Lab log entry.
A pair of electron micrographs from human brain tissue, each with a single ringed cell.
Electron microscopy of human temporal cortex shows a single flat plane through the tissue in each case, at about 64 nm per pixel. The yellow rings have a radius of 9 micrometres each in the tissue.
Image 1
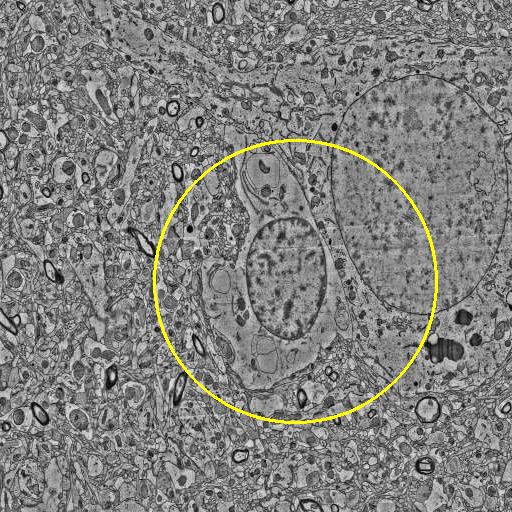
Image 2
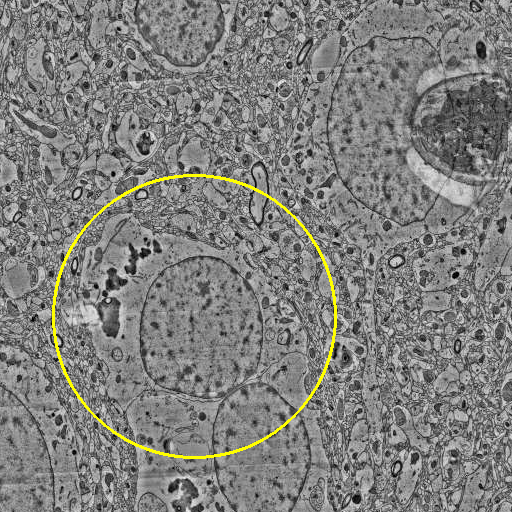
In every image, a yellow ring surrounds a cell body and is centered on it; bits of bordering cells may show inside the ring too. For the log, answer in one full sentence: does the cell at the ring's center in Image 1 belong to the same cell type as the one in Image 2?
Yes, the cells at the ring centers in Image 1 and Image 2 share one type.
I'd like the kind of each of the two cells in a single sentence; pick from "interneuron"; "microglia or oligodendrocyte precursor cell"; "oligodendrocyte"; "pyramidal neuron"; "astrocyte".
Both rings mark an astrocyte, one in each picture.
